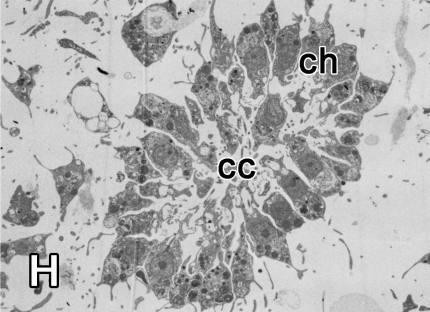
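This is a choanocyte chamber of a sponge, seen in section: a rosette of choanocytes packed closely around a small central lumen. The cells are wedge- or pear-shaped, their narrow ends pointing towards the centre, and they lie side by side with only thin clefts between them. Their cytoplasm is dense and grey, holding many rounded inclusions and vacuoles, and a nucleus can be made out in several. Thin strands and cut profiles of flagella and collar structures fill the central space. Around the rosette lies paler, loosely filled mesohyl with scattered cell profiles and fibrils.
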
